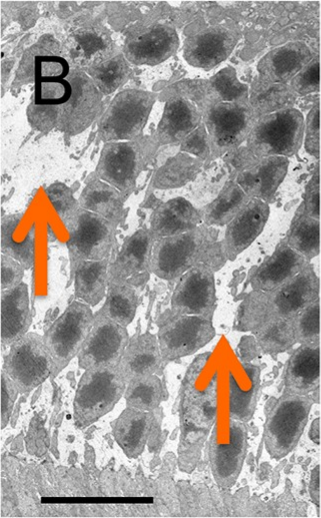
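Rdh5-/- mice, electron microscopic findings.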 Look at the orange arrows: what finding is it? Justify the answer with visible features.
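Wide interspaces between nuclei. Pale empty-looking areas lie between the nuclei. The arrows point into these pale gaps.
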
